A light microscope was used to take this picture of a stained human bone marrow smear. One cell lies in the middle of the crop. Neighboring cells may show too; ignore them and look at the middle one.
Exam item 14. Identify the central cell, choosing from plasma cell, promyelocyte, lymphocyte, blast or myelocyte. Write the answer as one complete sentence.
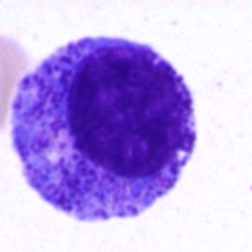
The cell shown in the center of this light-microscope crop is a promyelocyte.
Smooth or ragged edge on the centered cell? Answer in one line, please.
Rather than running smoothly, the cell border is ragged or carries projections.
